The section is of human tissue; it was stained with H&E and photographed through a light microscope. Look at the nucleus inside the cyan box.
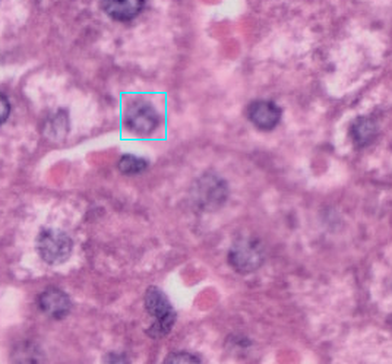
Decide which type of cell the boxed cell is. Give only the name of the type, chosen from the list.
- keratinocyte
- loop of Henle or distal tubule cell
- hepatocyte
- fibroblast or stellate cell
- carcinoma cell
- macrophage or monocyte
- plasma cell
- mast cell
hepatocyte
